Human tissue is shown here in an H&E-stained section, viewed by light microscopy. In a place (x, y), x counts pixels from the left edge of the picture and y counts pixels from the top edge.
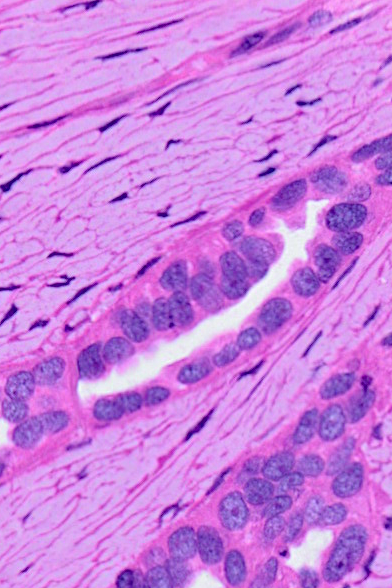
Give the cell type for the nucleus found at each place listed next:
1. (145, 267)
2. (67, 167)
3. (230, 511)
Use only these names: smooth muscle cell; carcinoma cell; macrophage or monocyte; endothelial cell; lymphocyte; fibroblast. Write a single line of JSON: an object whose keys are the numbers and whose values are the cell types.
{"1": "fibroblast", "2": "fibroblast", "3": "carcinoma cell"}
